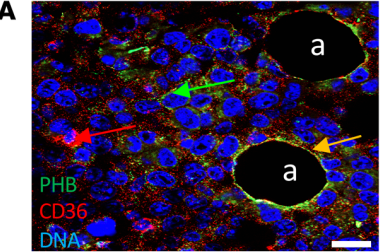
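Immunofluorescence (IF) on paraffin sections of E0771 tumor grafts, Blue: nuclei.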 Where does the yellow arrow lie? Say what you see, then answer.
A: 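The yellow arrow points at the rim of a large empty round space. The rim carries a thin band where green and red overlap, giving a yellowish line.
Hence: at the surface.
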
